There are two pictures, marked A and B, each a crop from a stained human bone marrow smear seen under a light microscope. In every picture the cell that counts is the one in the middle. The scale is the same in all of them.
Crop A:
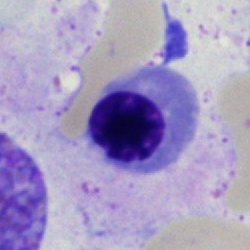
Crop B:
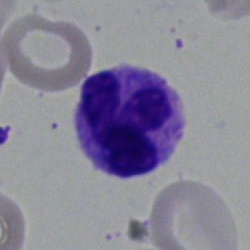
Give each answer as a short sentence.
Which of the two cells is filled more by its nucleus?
The nucleus fills more of the cell in crop B than in crop A.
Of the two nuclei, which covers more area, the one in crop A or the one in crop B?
The nucleus in crop B is larger, with about 1.5 times the area of the one in crop A.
